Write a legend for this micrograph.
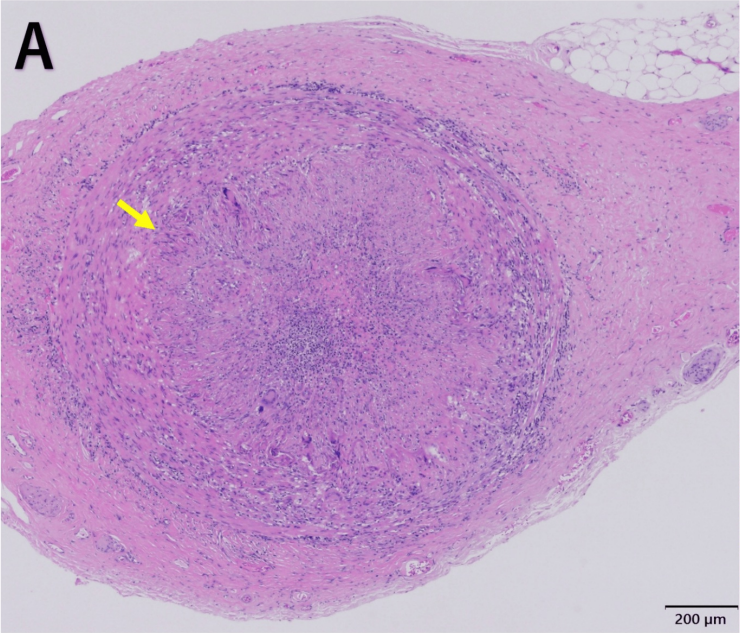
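This is a cross-section of an artery whose lumen is narrowed and filled by a thick, densely cellular inner layer. Fat tissue lies outside the vessel at the upper right.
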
